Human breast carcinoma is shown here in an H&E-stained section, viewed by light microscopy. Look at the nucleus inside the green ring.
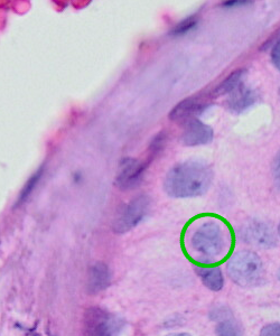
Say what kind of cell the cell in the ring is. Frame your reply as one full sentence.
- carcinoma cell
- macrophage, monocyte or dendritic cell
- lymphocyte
The expected answer is simply that the cell in the ring is a carcinoma cell.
